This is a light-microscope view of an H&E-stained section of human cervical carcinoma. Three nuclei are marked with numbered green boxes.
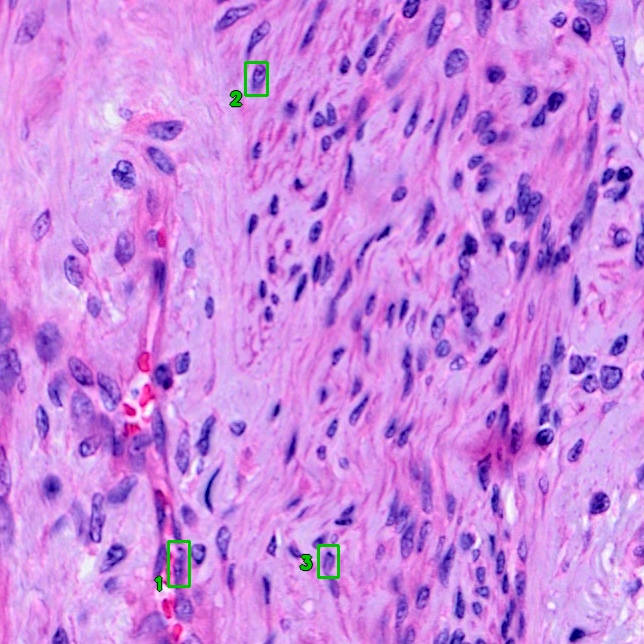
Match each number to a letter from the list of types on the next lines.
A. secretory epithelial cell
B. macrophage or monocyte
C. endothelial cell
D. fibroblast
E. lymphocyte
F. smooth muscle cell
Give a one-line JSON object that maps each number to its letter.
{"1": "C", "2": "F", "3": "F"}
